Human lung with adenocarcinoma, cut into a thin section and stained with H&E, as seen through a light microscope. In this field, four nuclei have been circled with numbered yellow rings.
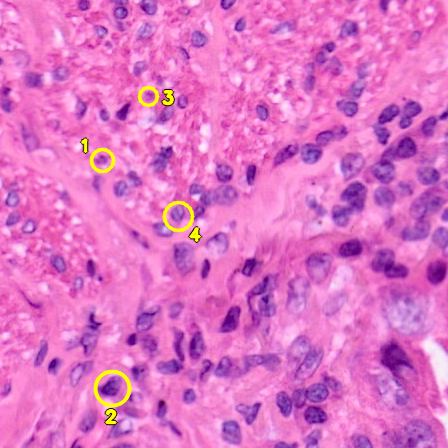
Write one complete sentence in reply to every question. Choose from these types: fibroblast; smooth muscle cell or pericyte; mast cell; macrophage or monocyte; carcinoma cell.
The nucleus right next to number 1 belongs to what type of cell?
The nearest nucleus to number 1 belongs to a mast cell.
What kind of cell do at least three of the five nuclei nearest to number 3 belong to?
Smooth muscle cells or pericytes make up most of the five nuclei closest to number 3.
